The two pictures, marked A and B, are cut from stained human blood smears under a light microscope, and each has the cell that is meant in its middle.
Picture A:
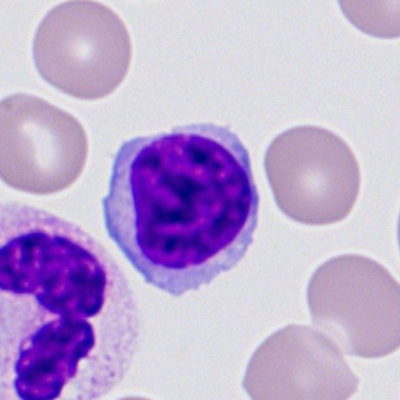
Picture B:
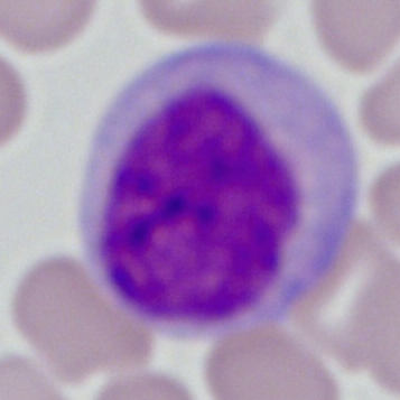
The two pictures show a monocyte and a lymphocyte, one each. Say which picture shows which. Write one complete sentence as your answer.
Picture A shows a lymphocyte and picture B shows a monocyte.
